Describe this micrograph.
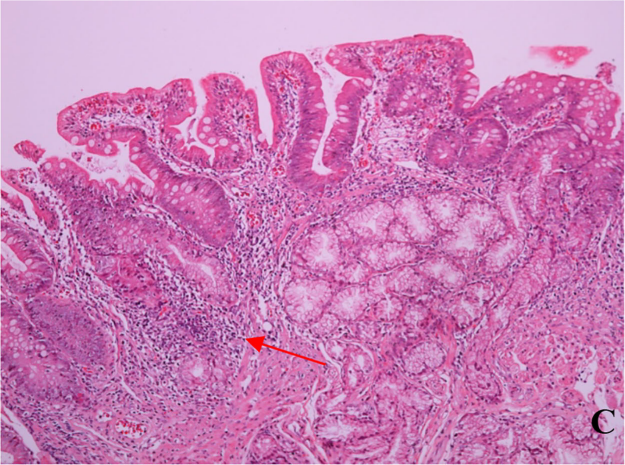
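This is duodenal mucosa with a mononuclear inflammatory infiltrate in the lamina propria. The surface is lined by columnar epithelium with many pale goblet cells, forming short, irregular finger-like projections. Below it, dense collections of small cells with dark-purple nuclei crowd the stroma between the glands. A cluster of glands with pale, foamy, mucus-filled cytoplasm lies in the centre. The deeper stroma is pink and fibrous, with scattered nuclei.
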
